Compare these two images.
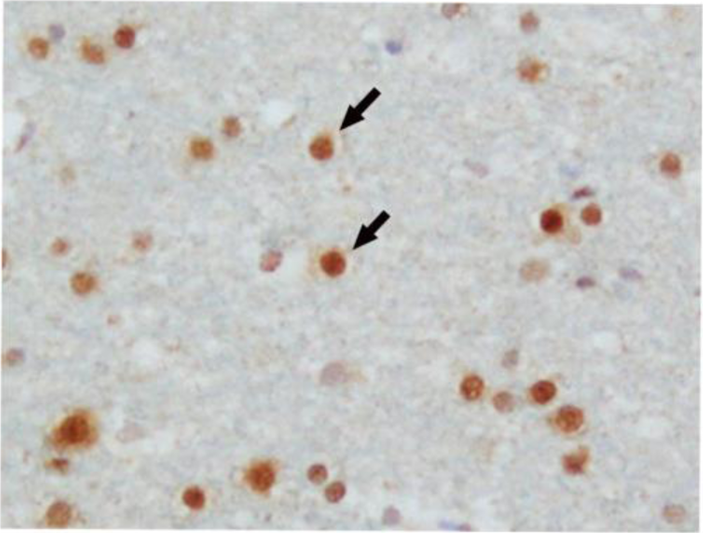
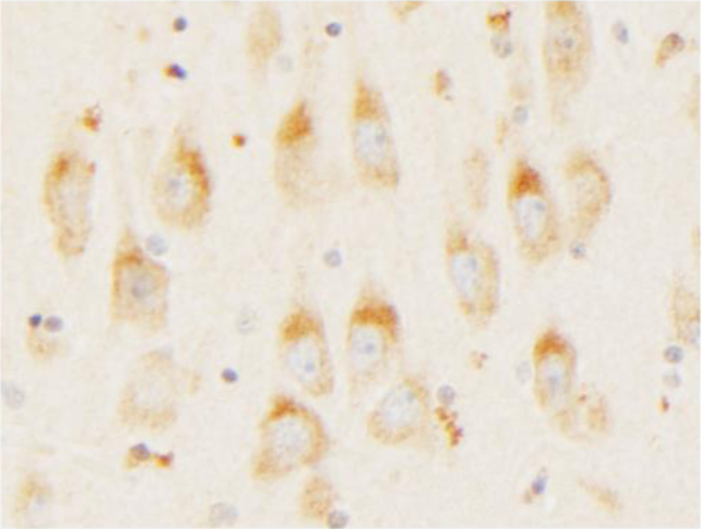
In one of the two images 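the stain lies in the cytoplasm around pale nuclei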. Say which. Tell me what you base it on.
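Second image: brown stain fills large cell bodies while their nuclei stay pale. On this evidence: the second image.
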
